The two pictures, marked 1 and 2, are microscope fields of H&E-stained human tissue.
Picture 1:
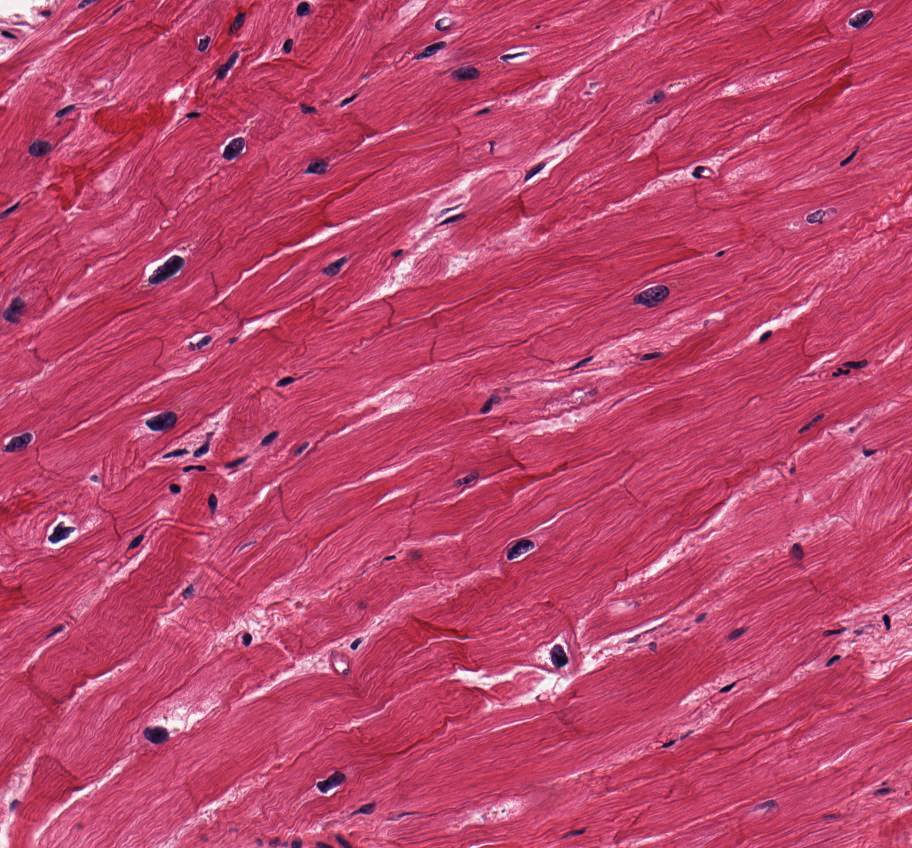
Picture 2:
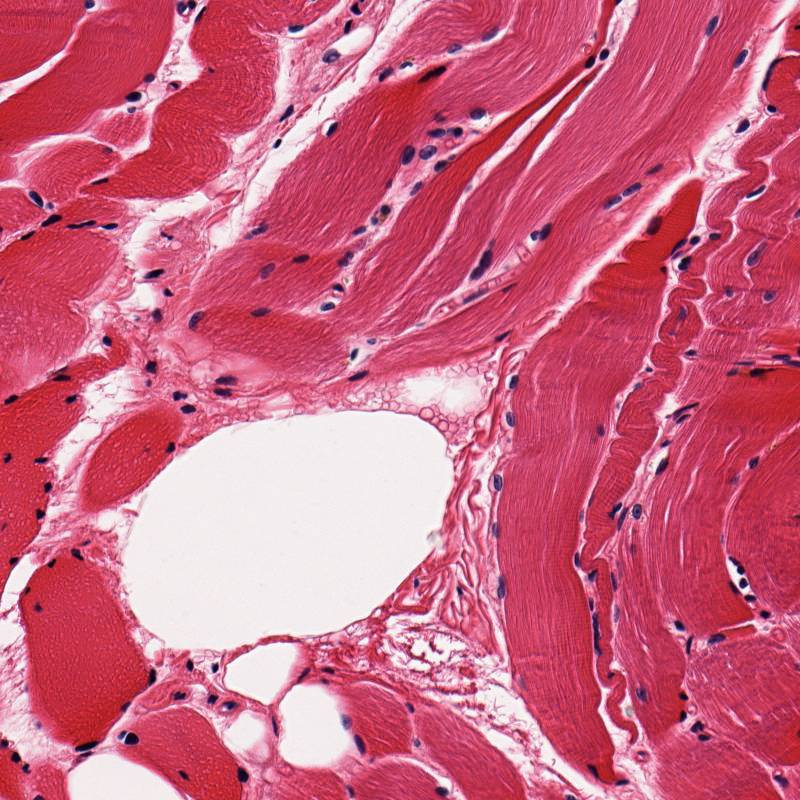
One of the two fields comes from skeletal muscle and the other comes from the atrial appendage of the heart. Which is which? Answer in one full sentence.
Picture 1 comes from the atrial appendage of the heart and picture 2 comes from skeletal muscle.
